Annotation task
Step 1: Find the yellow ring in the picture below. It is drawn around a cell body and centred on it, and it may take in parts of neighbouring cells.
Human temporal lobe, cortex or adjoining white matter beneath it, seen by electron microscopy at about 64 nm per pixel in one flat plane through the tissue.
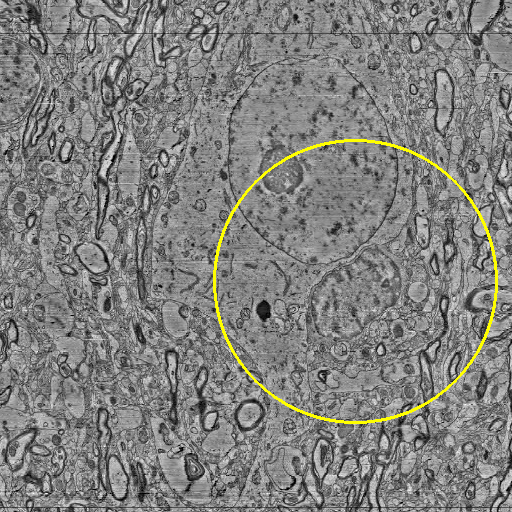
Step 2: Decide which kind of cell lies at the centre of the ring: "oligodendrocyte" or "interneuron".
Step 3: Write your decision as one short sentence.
The kind of cell at the ring's centre is an oligodendrocyte.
